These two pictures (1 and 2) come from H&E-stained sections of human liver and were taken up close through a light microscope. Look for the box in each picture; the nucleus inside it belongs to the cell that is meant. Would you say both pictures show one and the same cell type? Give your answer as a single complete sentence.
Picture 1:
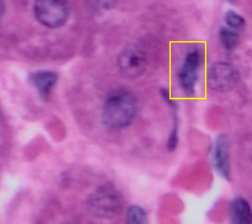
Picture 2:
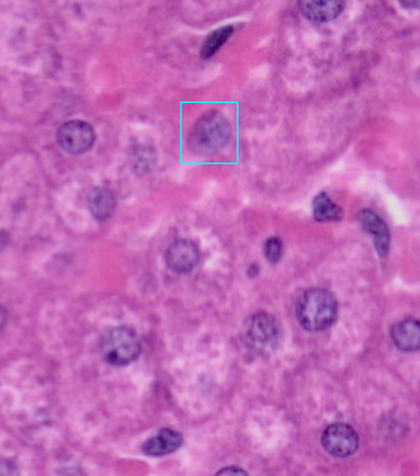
No, picture 1 shows a “fibroblast or stellate cell” and picture 2 shows an endothelial cell.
